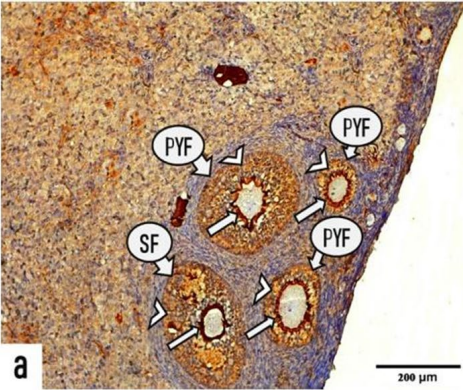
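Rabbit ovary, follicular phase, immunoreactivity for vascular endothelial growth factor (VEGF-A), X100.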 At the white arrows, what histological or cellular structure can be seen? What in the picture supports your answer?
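Each arrow ends on a thin, dark brown ring directly around the pale oocyte. The ring lies inside the follicle, between the oocyte and the surrounding layers of cells. So: zona pellucida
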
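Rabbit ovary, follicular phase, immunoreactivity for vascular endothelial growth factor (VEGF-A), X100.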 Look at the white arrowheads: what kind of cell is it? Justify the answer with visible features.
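Granulosa cells. The arrowheads point to the layers of brown-stained cells that surround the oocyte in each follicle. These cell layers are bordered outside by blue-stained stroma.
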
